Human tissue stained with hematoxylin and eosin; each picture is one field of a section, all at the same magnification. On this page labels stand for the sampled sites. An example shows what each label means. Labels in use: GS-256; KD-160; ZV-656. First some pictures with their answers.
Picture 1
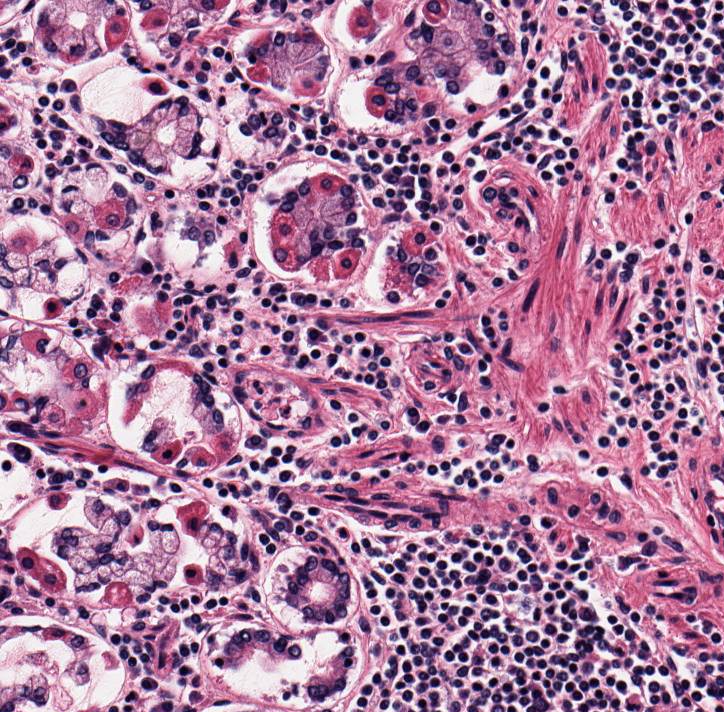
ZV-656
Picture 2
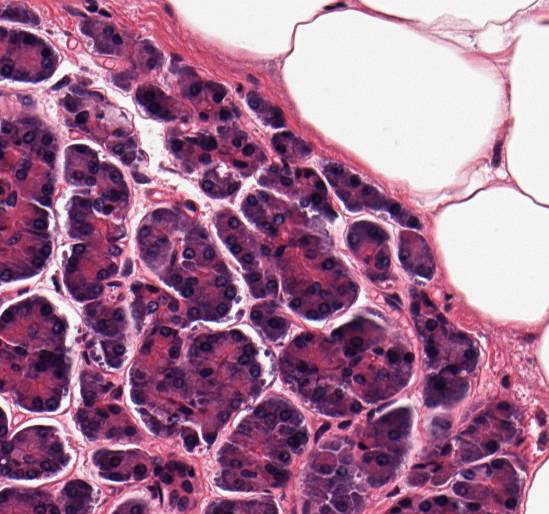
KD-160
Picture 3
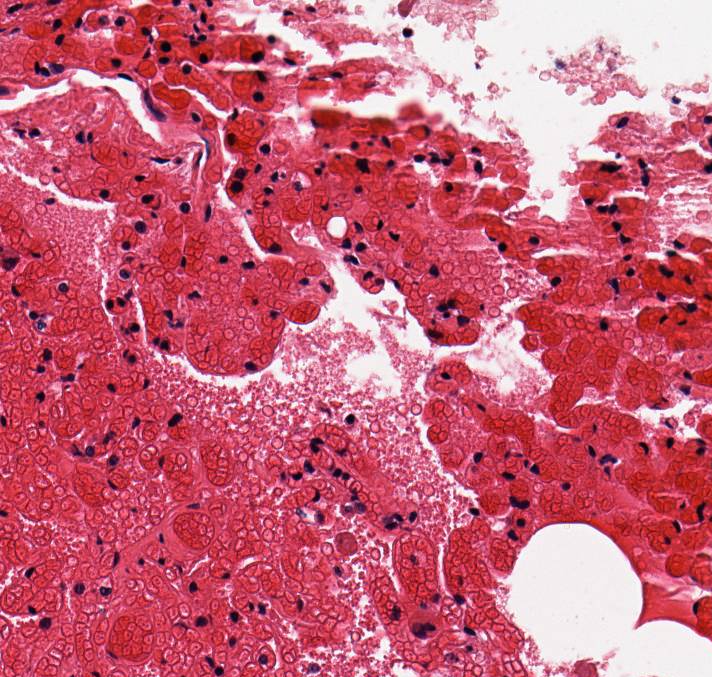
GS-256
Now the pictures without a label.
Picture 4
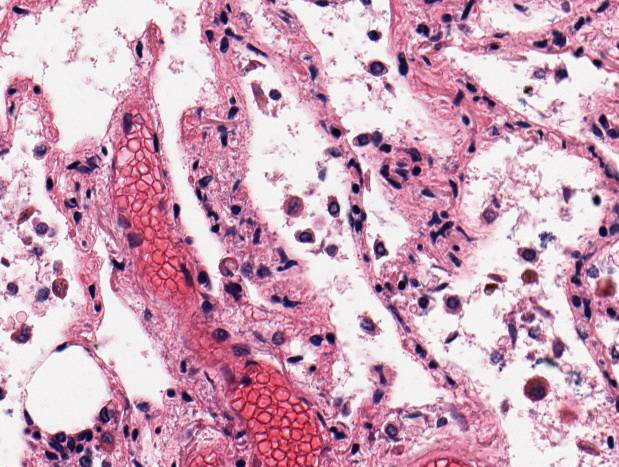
GS-256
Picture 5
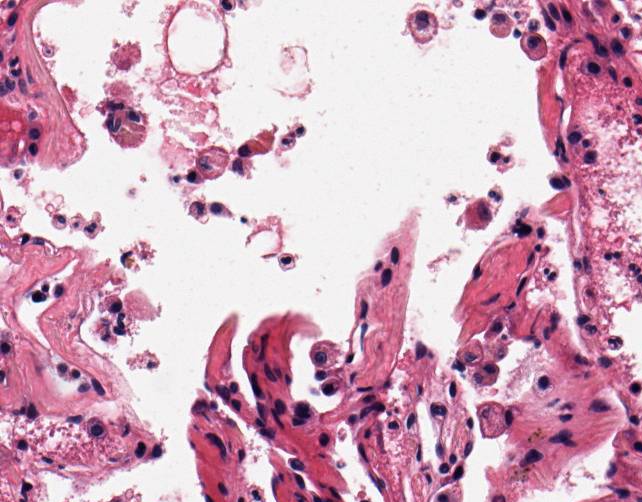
GS-256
